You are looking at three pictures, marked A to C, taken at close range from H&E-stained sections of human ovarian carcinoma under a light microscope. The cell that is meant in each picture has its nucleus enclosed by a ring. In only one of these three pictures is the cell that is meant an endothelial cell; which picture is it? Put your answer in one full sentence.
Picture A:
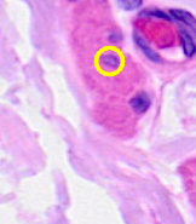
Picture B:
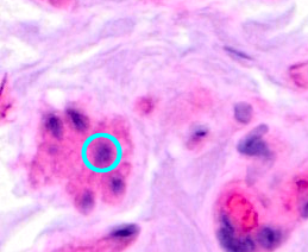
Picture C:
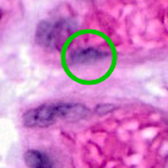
Picture C is the one that shows the endothelial cell.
